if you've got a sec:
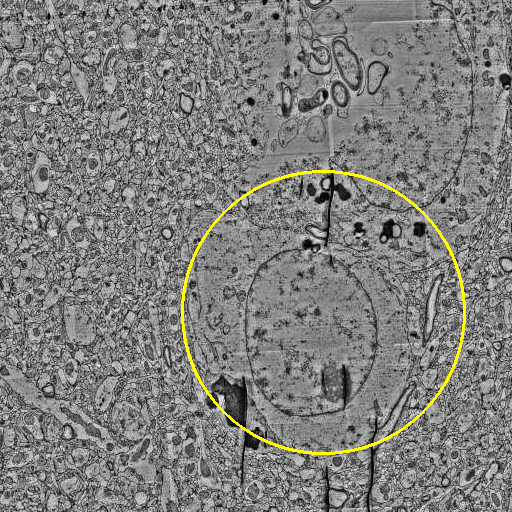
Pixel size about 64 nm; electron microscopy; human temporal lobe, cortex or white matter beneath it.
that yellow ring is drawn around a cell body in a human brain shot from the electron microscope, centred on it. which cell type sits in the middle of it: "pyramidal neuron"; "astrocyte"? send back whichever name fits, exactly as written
pyramidal neuron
